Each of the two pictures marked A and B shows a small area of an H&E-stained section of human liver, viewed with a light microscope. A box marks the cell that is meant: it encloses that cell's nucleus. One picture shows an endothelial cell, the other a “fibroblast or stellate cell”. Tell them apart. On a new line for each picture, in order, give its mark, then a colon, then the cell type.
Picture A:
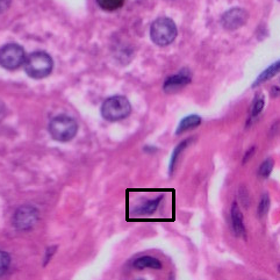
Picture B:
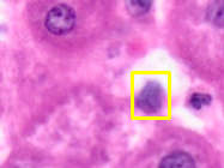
A: fibroblast or stellate cell
B: endothelial cell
